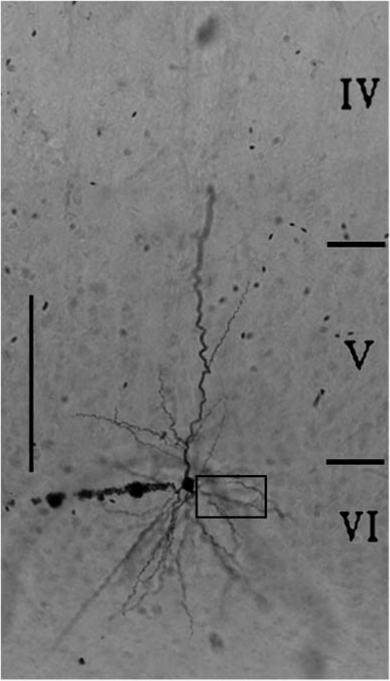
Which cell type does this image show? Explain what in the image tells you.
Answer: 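Many thinner dendrites radiate from the base of the cell body. That points to this answer: pyramidal neurons.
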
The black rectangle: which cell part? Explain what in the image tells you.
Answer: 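The rectangle lies beside the cell body, away from the long upward dendrite. It encloses thin branching dendrites running out sideways from the base of the soma. The answer: basal dendrites.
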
